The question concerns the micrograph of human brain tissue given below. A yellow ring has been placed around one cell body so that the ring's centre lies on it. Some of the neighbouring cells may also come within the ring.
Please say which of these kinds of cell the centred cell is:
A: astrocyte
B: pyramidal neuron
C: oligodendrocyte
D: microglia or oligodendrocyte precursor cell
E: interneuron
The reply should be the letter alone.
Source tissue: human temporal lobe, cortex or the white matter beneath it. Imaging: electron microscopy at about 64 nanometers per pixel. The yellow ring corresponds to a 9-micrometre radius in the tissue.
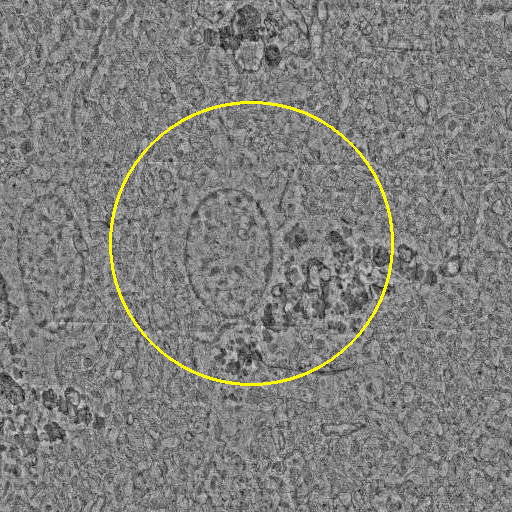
A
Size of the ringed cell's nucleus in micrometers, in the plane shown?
The nucleus has a long axis of about 8 micrometres and a short axis of about 6 micrometres in this plane.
